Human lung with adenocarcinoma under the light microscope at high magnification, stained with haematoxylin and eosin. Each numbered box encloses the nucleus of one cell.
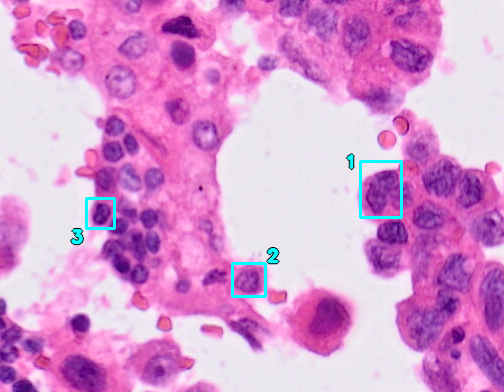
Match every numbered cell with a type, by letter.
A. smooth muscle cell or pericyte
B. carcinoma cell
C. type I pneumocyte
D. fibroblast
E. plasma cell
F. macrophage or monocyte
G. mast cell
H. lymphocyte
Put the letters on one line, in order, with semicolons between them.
B; F; H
